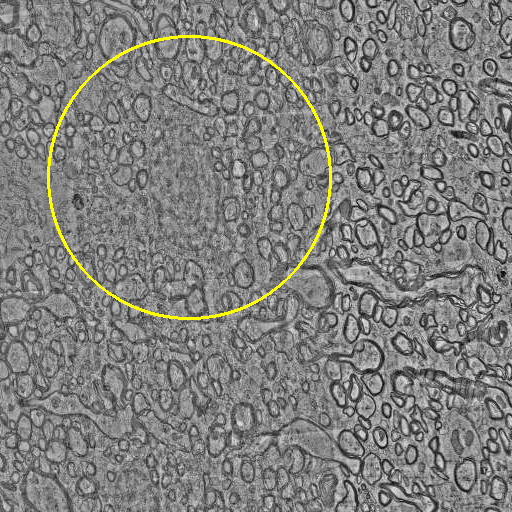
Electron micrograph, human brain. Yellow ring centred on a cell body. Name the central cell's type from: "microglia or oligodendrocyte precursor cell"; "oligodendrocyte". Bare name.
oligodendrocyte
